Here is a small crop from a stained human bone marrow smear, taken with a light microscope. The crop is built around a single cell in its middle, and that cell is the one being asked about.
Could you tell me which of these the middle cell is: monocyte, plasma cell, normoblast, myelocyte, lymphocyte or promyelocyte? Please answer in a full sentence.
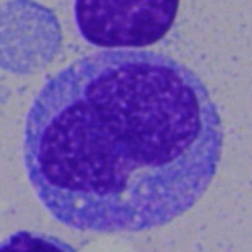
In the centre of this crop there is a monocyte.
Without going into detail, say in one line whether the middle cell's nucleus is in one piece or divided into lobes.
Between us, the nucleus here is just one compact mass, round, oval or kidney-shaped.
